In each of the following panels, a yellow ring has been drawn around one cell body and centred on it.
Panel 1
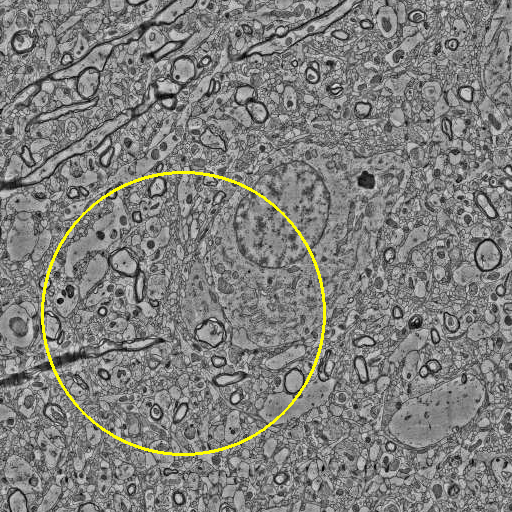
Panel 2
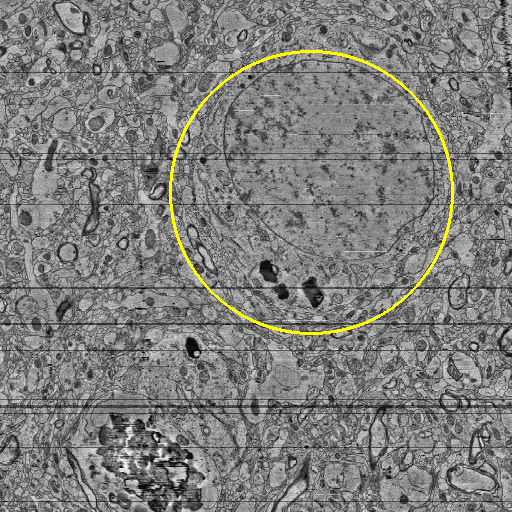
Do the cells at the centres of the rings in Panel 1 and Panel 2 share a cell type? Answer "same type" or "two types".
two types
